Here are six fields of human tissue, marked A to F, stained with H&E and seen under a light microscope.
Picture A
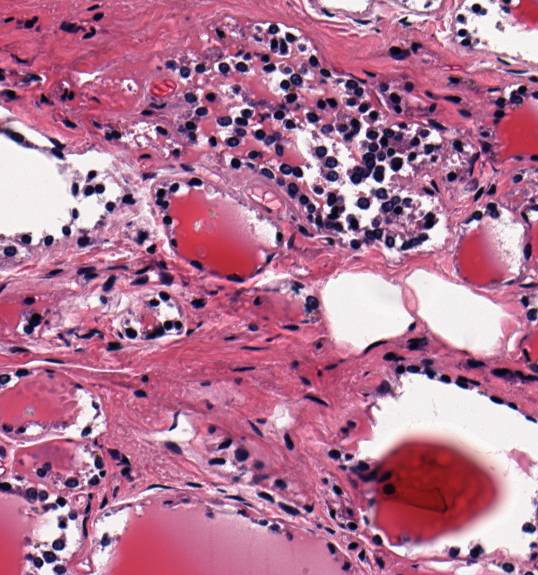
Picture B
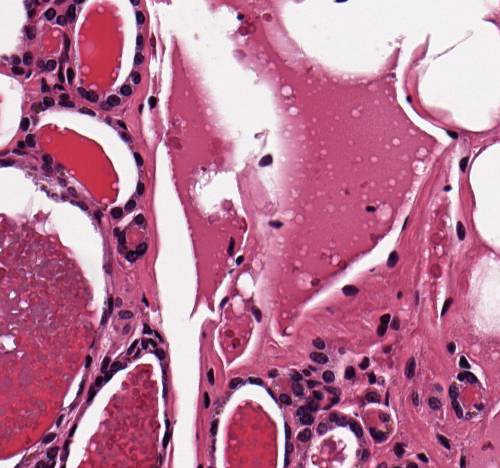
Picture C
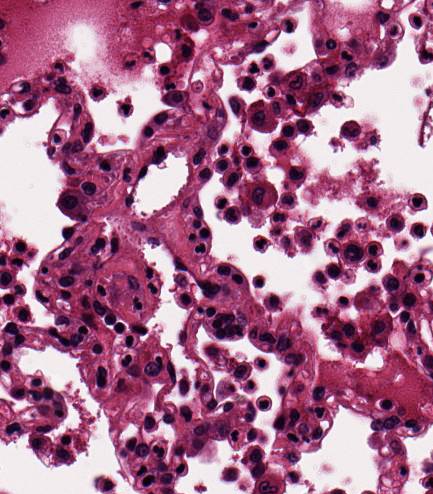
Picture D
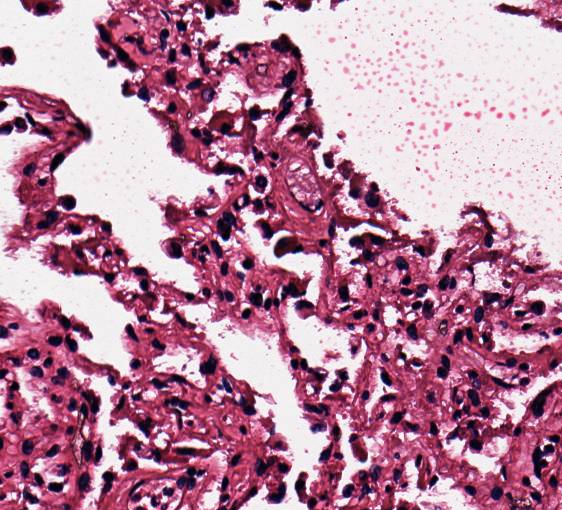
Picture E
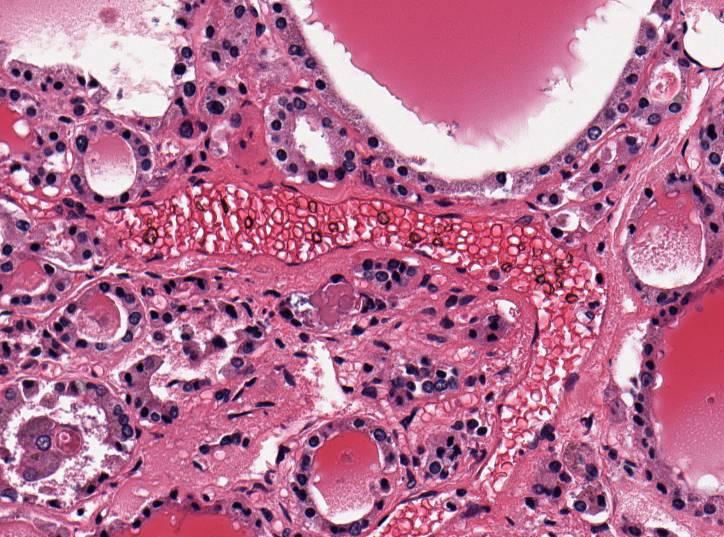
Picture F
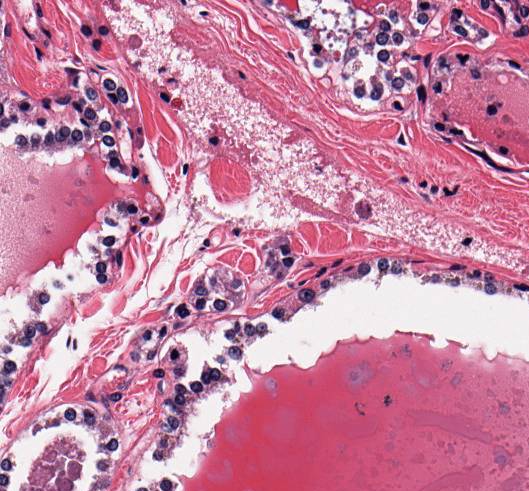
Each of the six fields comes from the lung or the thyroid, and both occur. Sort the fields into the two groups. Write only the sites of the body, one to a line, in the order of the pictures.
thyroid
thyroid
lung
lung
thyroid
thyroid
